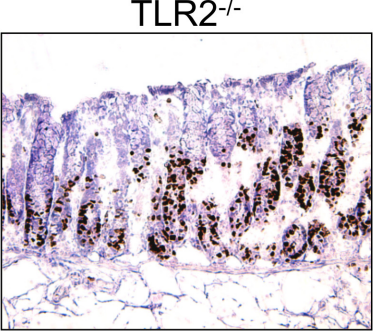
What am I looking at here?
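Section of colonic mucosa that is thickened, with elongated, crowded and somewhat irregular crypts. Many nuclei throughout the lower half or more of the crypts are stained dark brown, while the upper crypts and surface show pale, purple-counterstained epithelium; loose pale connective tissue lies beneath.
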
